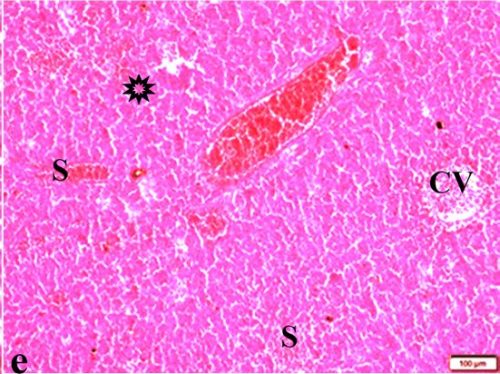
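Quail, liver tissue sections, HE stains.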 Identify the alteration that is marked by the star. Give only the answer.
Hepatocellular degeneration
